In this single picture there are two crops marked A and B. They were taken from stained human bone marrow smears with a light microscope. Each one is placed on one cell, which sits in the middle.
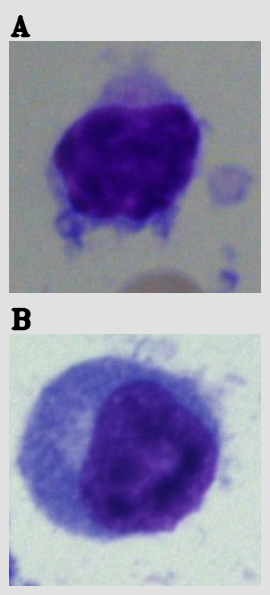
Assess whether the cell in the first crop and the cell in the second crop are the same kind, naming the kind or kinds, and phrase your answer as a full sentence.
No, the cells are a hairy cell in crop A and a plasma cell in crop B.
